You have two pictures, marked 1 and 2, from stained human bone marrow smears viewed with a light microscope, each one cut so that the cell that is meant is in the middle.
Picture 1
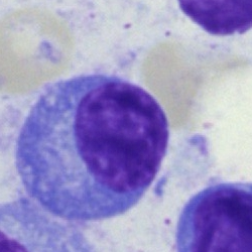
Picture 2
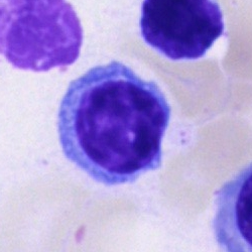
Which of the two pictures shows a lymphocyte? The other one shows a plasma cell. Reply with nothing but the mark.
2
